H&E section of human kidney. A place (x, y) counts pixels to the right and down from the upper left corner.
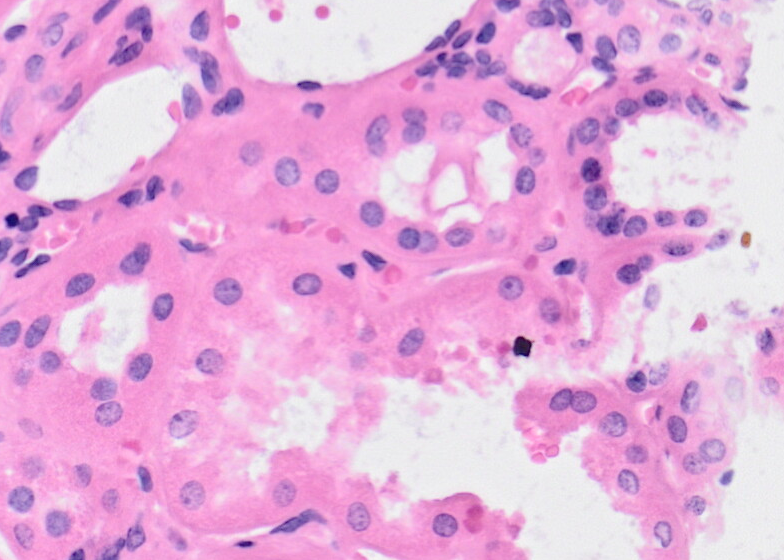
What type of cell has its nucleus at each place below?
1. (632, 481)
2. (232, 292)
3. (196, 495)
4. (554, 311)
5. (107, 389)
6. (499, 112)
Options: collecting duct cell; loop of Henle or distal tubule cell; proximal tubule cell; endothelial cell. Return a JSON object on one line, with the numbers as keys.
{"1": "proximal tubule cell", "2": "proximal tubule cell", "3": "proximal tubule cell", "4": "proximal tubule cell", "5": "loop of Henle or distal tubule cell", "6": "collecting duct cell"}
